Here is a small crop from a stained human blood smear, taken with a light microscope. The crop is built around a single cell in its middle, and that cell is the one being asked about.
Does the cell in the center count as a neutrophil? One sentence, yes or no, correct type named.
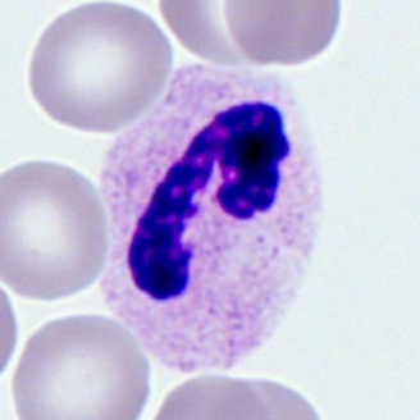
Yes, the cell lying in the middle is a neutrophil.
